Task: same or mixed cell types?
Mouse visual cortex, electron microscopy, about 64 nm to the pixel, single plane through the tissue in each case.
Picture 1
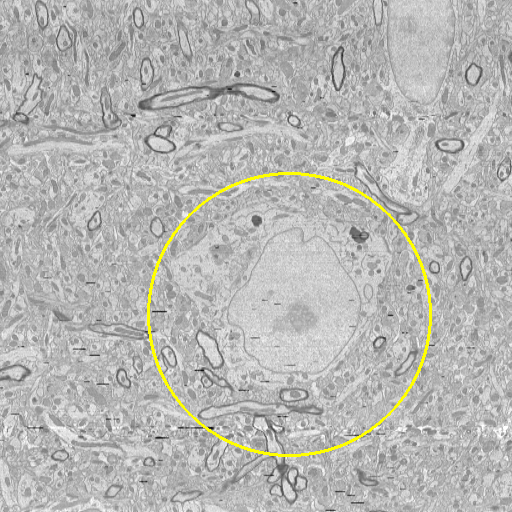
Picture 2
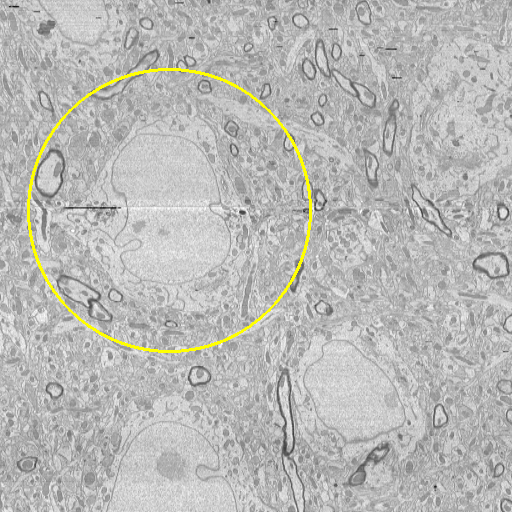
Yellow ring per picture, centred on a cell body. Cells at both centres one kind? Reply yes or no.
yes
